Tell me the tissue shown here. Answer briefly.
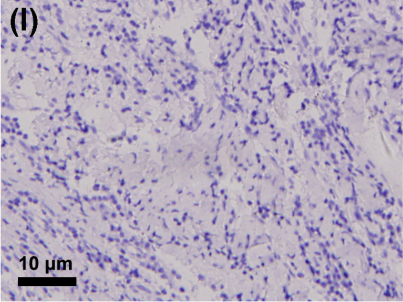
connective tissue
